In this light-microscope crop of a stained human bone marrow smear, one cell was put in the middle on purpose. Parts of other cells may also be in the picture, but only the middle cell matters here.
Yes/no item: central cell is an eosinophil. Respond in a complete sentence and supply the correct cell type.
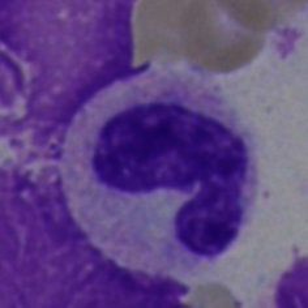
No, an eosinophil is not what the central cell is; it is a band neutrophil.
